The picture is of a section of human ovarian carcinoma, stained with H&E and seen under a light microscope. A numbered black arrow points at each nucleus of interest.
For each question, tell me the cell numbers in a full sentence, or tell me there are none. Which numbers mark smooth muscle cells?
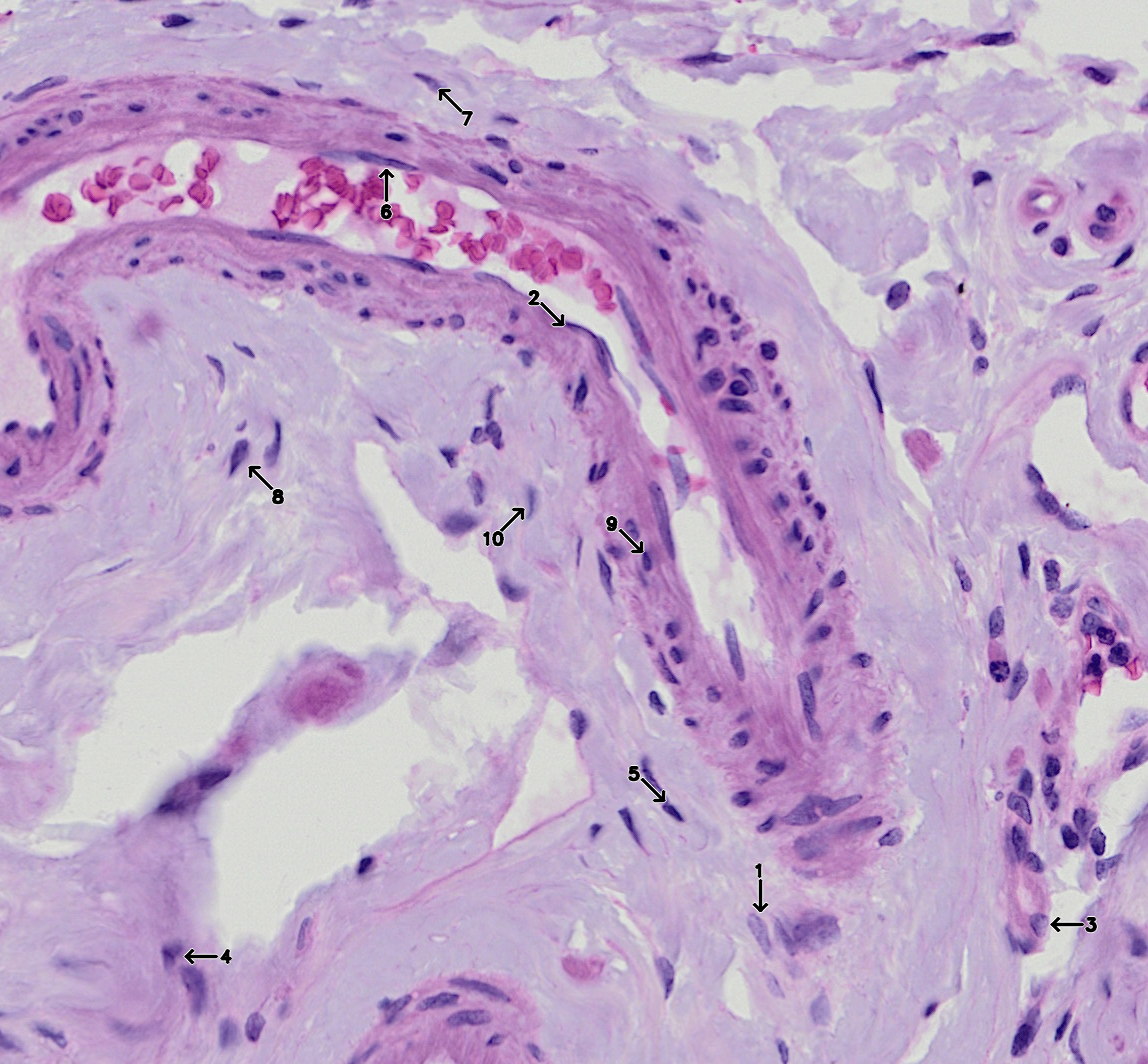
Cell 9 is a smooth muscle cell and is the only numbered cell of that kind.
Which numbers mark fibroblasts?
The cells identified by the numbers 1, 4, 5, 7, 8 and 10 are fibroblasts.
